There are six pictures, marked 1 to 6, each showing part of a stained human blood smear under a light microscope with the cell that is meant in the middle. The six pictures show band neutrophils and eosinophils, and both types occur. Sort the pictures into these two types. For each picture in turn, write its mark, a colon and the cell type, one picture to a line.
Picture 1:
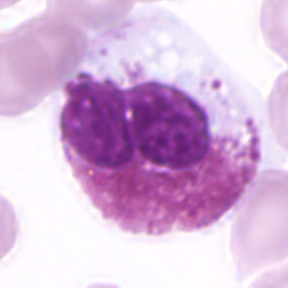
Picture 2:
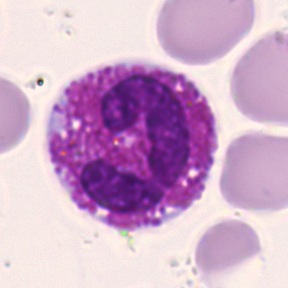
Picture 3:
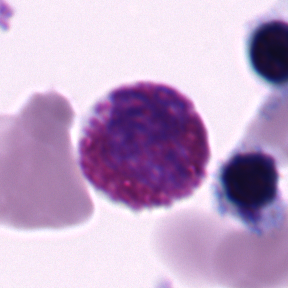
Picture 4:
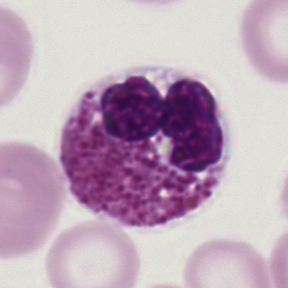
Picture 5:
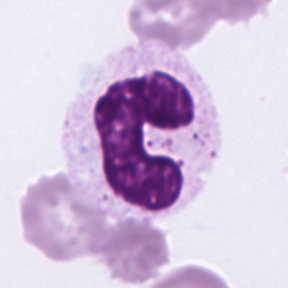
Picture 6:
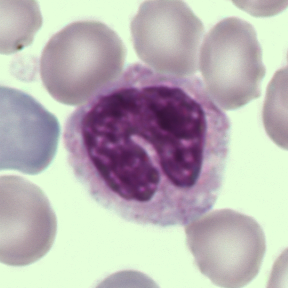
1: eosinophil
2: eosinophil
3: eosinophil
4: eosinophil
5: band neutrophil
6: band neutrophil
